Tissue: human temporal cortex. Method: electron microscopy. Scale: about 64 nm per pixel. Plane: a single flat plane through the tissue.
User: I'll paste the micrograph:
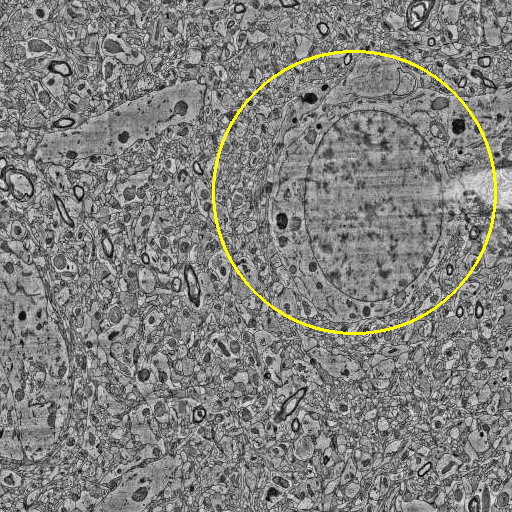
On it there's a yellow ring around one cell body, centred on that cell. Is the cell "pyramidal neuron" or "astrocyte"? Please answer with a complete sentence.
The cell ringed in yellow is a pyramidal neuron.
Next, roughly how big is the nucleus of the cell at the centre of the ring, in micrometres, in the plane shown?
In this plane the nucleus is about 12 micrometres by 9.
